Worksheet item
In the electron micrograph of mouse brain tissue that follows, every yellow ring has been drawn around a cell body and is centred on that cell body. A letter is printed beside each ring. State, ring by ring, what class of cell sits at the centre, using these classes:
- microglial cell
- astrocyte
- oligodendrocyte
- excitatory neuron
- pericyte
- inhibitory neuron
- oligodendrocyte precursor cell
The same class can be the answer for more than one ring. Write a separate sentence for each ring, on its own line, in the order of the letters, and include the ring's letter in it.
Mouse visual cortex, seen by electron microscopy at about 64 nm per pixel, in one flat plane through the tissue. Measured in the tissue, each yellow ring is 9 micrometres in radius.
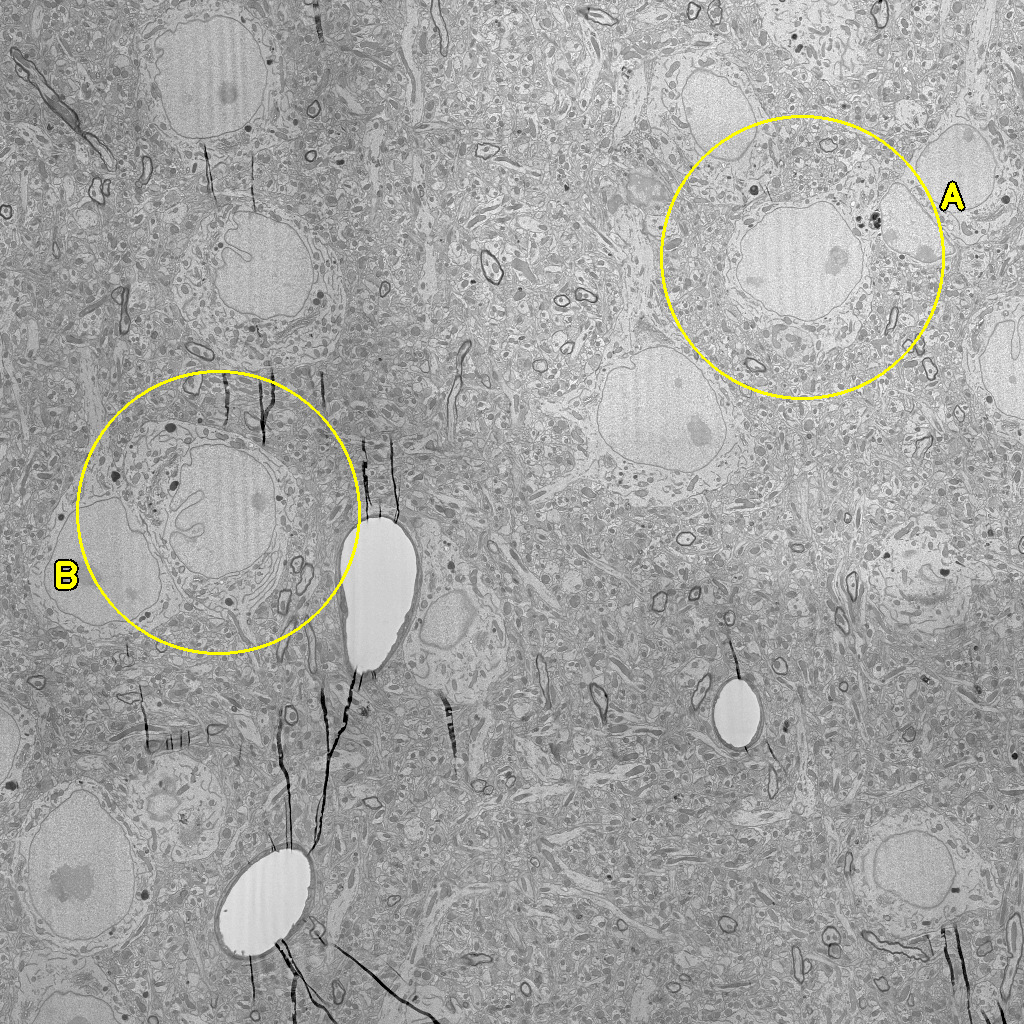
At the centre of ring A sits an excitatory neuron.
At the centre of ring B sits an inhibitory neuron.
